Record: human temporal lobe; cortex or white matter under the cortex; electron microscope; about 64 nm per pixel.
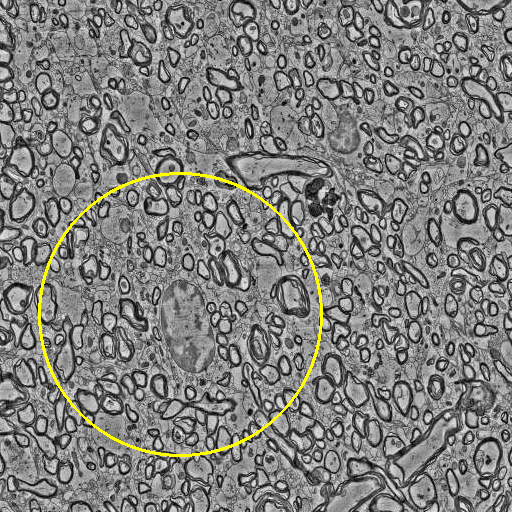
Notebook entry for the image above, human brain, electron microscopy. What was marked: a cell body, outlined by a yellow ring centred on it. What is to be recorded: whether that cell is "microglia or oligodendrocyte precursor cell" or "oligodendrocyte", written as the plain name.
microglia or oligodendrocyte precursor cell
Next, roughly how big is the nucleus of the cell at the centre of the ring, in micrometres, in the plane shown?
Approximately 6 by 3 micrometers in this plane.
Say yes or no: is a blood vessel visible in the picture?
No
